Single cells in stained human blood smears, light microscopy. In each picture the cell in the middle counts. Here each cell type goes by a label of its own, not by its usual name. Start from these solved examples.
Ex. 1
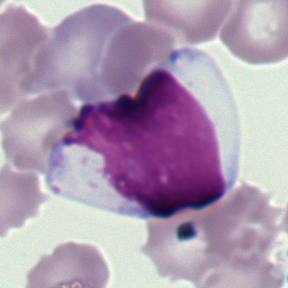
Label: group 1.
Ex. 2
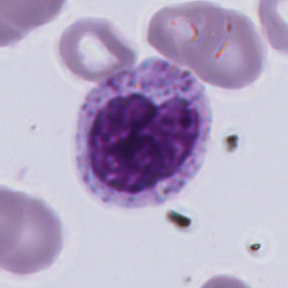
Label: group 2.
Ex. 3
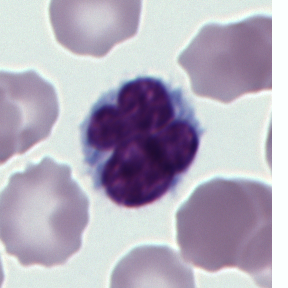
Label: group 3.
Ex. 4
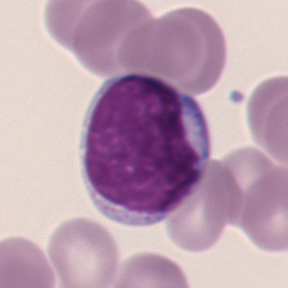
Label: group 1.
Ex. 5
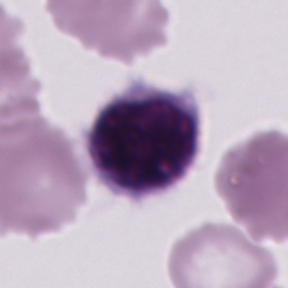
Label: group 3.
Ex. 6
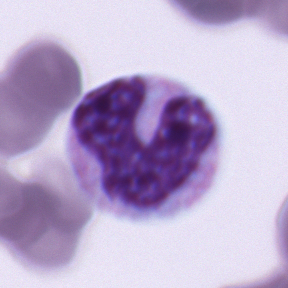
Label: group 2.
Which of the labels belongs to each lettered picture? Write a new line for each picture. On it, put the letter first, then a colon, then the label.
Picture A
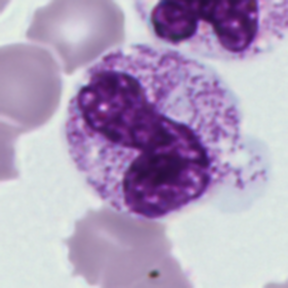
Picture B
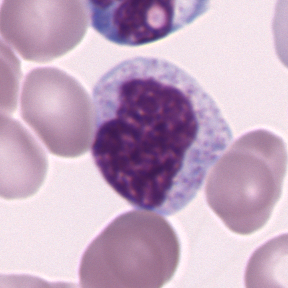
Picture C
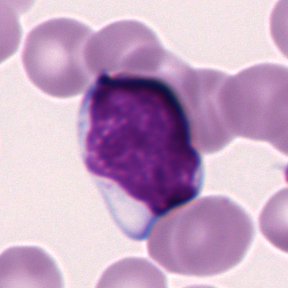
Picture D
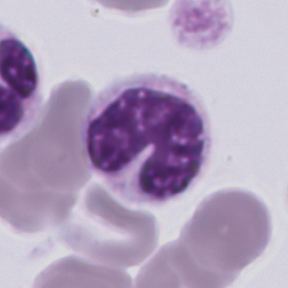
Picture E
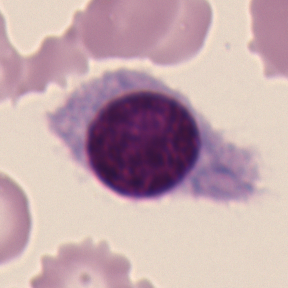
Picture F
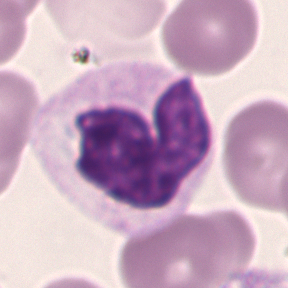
A: group 2.
B: group 2.
C: group 1.
D: group 2.
E: group 3.
F: group 2.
